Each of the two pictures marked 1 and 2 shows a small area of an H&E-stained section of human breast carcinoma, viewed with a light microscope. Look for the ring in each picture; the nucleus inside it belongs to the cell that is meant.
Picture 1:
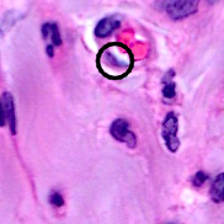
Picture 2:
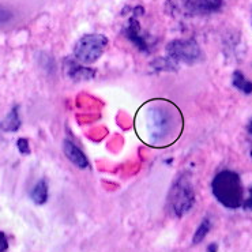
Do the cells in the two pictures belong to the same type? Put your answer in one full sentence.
Yes, both cells are endothelial cells.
